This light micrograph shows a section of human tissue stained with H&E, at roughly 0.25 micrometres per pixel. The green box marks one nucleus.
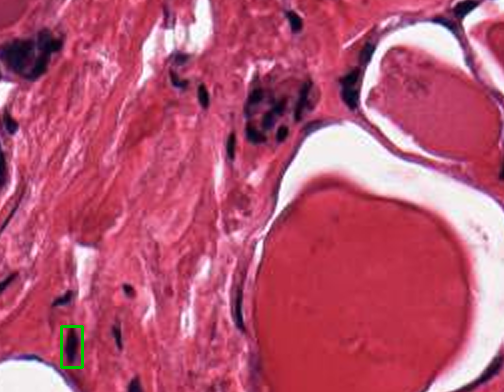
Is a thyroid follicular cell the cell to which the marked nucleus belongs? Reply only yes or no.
no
